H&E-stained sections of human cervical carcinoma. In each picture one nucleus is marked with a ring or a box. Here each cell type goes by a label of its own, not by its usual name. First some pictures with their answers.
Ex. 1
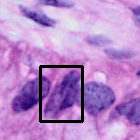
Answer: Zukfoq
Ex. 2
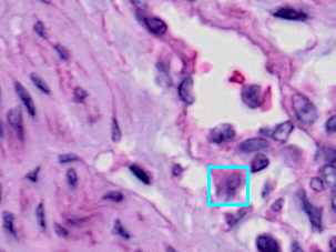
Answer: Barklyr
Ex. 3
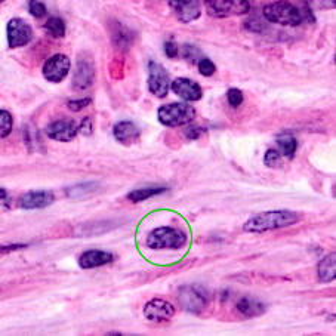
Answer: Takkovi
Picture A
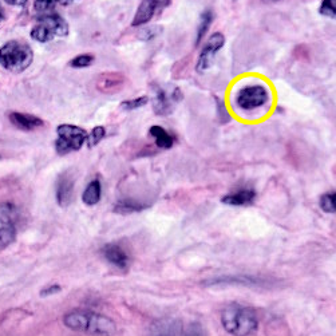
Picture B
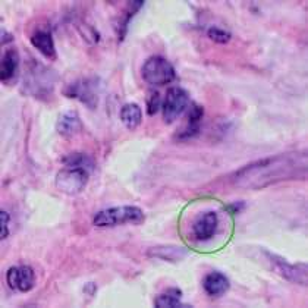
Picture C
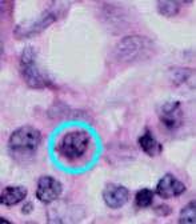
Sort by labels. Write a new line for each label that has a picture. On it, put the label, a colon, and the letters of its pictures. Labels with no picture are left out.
Takkovi: A, B, C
